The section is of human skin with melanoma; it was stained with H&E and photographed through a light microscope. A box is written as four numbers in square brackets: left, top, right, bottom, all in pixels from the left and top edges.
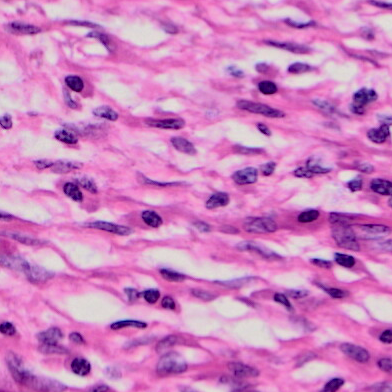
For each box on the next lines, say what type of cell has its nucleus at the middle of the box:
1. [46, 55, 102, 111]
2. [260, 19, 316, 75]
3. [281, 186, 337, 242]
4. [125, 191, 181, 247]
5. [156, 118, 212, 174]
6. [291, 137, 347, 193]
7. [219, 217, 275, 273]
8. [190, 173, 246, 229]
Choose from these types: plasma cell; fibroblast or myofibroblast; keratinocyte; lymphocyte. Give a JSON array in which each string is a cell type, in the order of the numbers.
["plasma cell", "fibroblast or myofibroblast", "plasma cell", "plasma cell", "fibroblast or myofibroblast", "fibroblast or myofibroblast", "fibroblast or myofibroblast", "lymphocyte"]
